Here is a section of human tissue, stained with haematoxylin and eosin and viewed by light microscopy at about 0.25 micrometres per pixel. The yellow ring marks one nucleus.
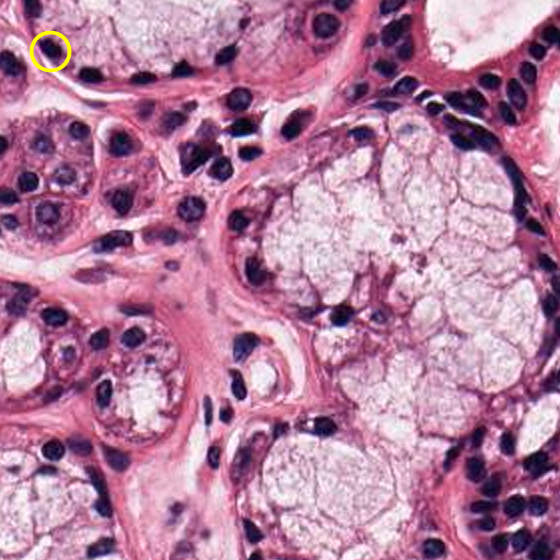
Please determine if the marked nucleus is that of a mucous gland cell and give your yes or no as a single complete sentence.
Yes, it is a mucous gland cell that holds the marked nucleus.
